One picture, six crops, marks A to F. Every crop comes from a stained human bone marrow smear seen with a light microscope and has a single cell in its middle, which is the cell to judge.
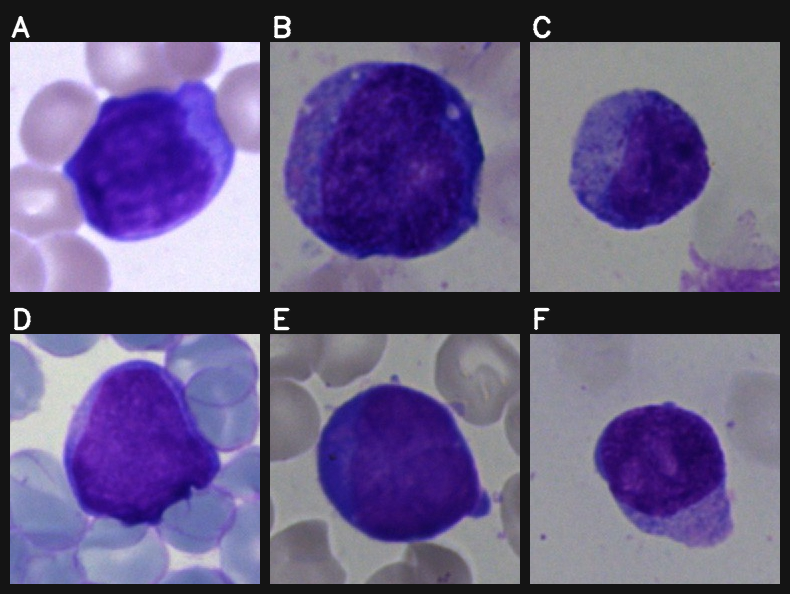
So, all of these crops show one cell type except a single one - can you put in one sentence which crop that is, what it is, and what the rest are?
With the other crops all showing blasts, crop C differs by showing a promyelocyte.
